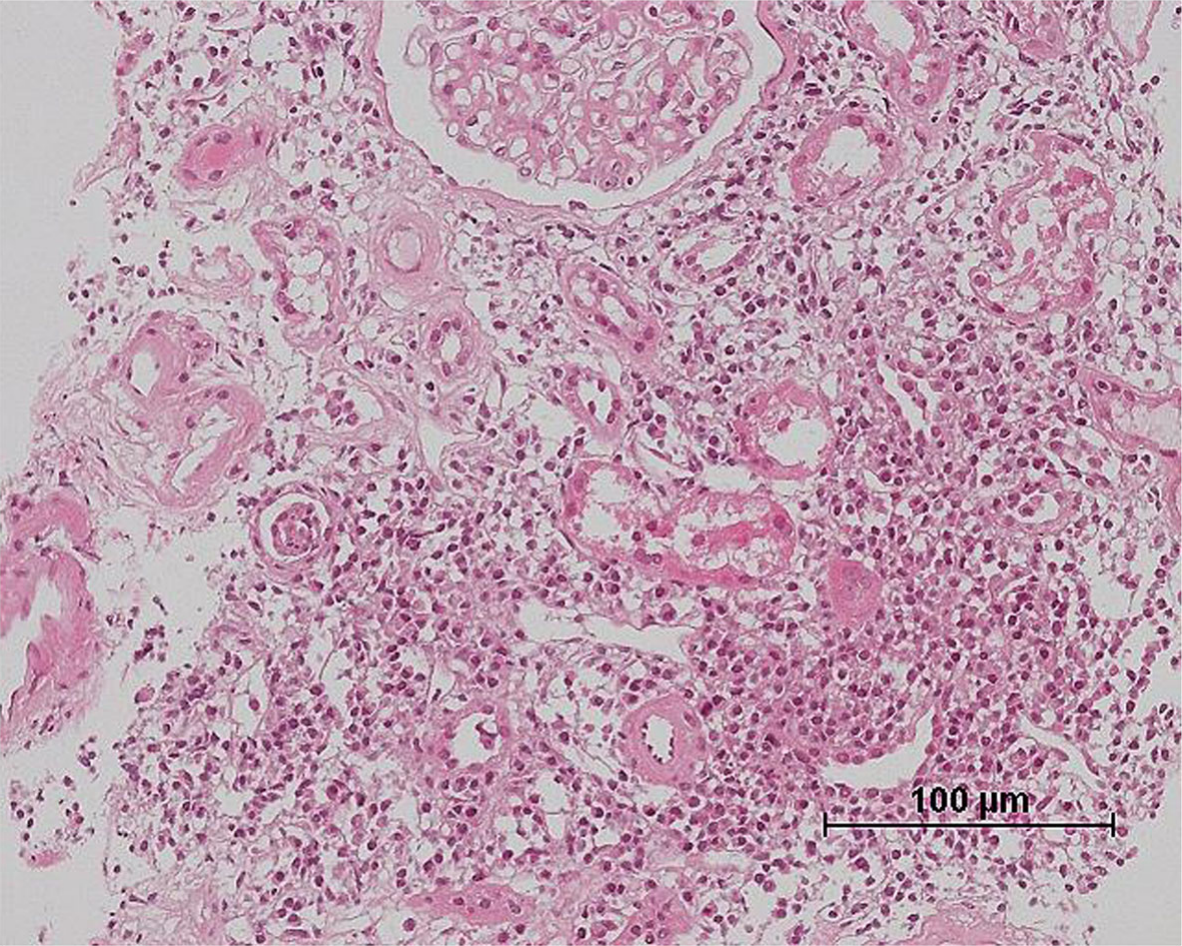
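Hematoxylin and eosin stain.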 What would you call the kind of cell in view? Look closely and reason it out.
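Many infiltrating cells have a pink cytoplasm with the nucleus set to one side.
Plasma cell-rich mononuclear cells.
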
